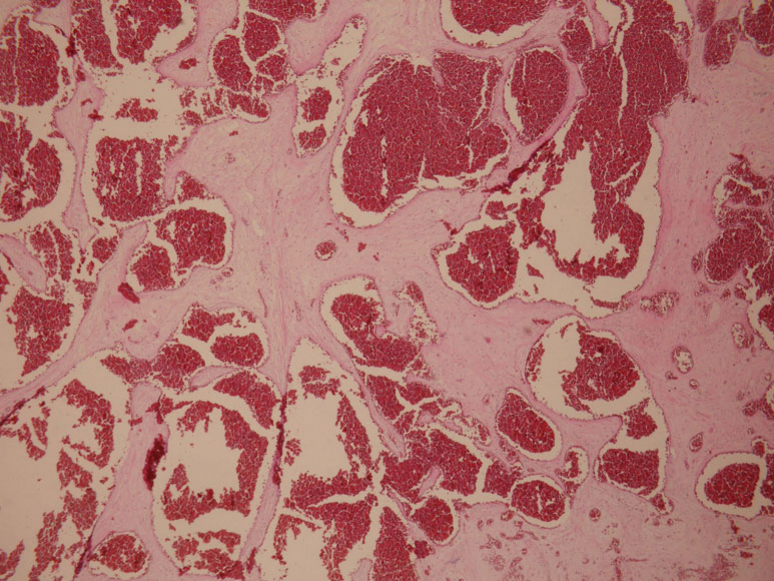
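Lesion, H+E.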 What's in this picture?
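This low-power field shows many large blood vessels with widely dilated, cyst-like lumina of irregular outline. Their walls are thin, and they are set in pale pink fibrous stroma. The lumina are packed with red blood cells that form dense deep red masses, often shrunk away from the thin walls and leaving pale clefts.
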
